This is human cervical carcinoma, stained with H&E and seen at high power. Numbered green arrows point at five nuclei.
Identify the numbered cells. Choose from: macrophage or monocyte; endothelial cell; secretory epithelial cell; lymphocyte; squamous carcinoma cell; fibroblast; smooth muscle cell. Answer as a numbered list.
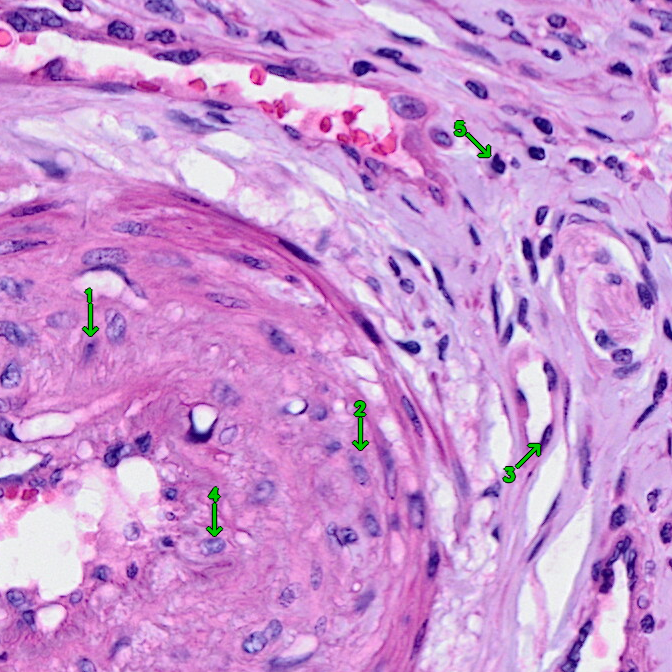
1. smooth muscle cell
2. smooth muscle cell
3. endothelial cell
4. smooth muscle cell
5. lymphocyte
